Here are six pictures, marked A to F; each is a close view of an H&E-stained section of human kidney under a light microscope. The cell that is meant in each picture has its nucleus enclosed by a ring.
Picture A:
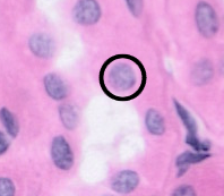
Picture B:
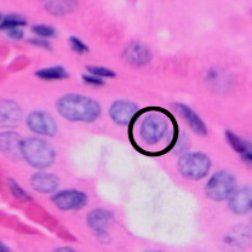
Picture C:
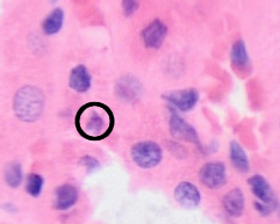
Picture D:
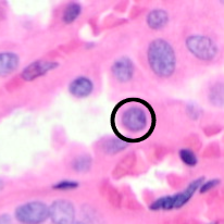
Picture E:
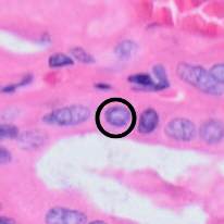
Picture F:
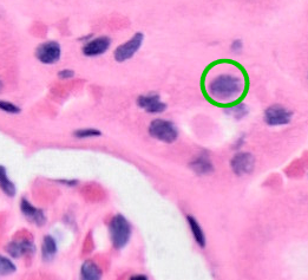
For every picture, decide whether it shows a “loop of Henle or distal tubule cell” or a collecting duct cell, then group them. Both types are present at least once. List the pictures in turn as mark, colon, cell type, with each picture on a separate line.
A: loop of Henle or distal tubule cell
B: collecting duct cell
C: loop of Henle or distal tubule cell
D: loop of Henle or distal tubule cell
E: collecting duct cell
F: loop of Henle or distal tubule cell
